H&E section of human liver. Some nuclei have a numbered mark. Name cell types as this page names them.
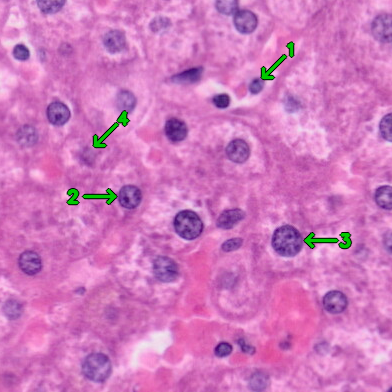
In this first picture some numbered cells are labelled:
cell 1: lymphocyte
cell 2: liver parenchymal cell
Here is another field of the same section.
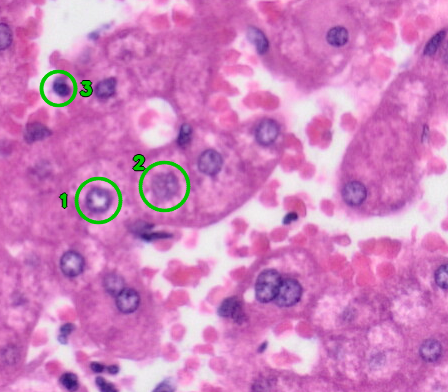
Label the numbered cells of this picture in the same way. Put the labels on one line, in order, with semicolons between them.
liver parenchymal cell; liver parenchymal cell; lymphocyte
